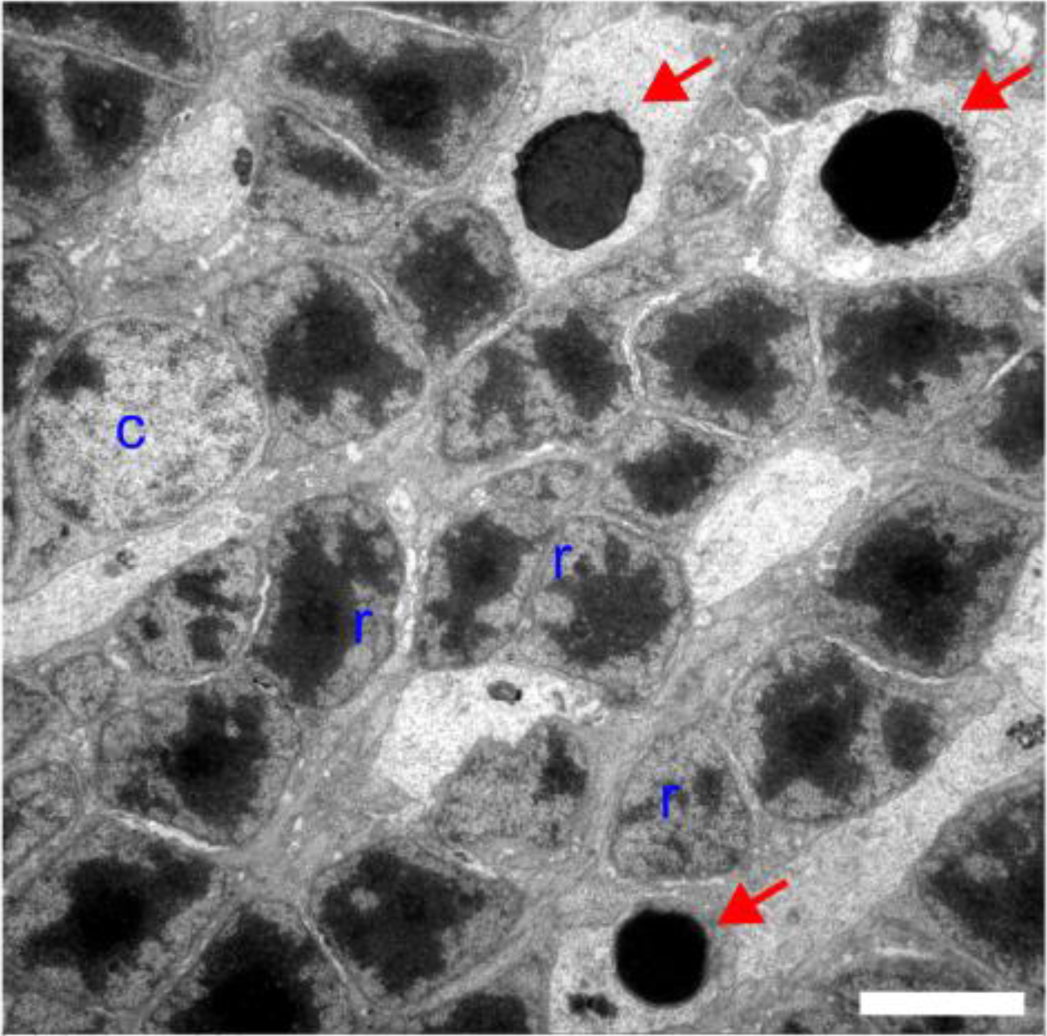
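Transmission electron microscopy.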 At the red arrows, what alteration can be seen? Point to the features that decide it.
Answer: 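They are smaller and denser than the neighbouring nuclei with clumped chromatin. So: Pyknotic nuclei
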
